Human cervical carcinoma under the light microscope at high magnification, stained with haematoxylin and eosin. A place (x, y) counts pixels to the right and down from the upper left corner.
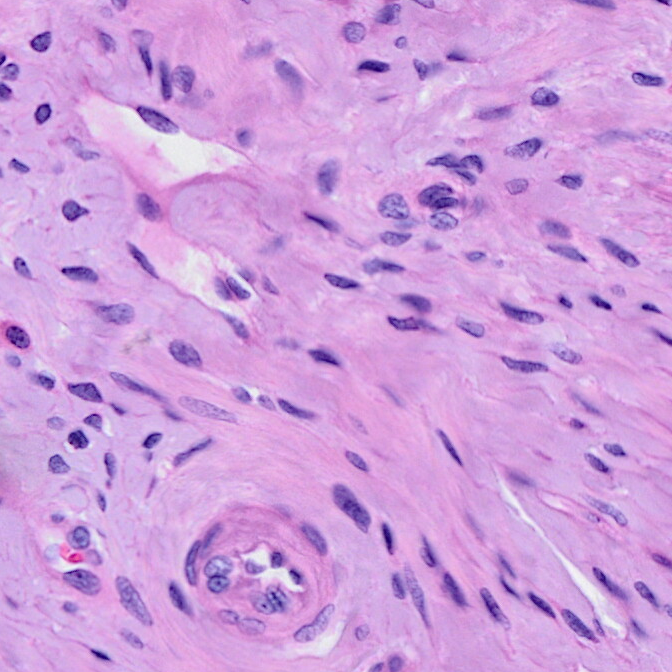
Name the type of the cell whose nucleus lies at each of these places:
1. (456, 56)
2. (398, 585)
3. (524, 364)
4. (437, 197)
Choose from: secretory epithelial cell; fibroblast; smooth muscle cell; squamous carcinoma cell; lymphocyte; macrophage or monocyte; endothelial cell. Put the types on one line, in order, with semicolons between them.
fibroblast; fibroblast; fibroblast; endothelial cell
